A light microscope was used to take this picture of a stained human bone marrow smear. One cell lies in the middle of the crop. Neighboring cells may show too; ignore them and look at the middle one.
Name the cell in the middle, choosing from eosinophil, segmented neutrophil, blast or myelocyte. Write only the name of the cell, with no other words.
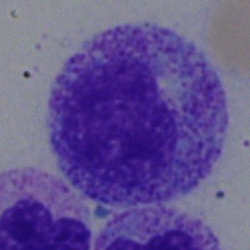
myelocyte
